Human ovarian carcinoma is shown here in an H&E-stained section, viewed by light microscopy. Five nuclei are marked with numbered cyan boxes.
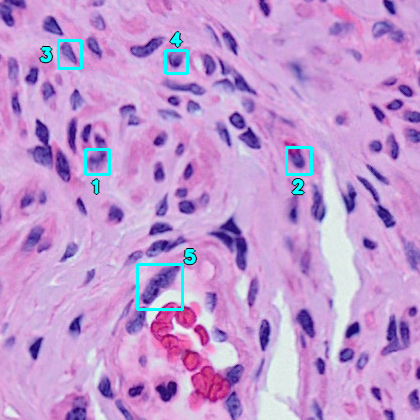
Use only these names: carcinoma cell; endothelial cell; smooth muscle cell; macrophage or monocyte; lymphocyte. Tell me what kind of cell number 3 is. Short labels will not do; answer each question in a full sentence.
In this section, the cell numbered 3 is a smooth muscle cell.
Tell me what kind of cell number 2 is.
Within this field of view, the cell labelled 2 is an endothelial cell.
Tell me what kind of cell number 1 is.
The cell carrying label 1 is identified as a smooth muscle cell.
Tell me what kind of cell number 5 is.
That cell with number 5 is an endothelial cell.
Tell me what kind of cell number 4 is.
The cell with the number 4 is a smooth muscle cell.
